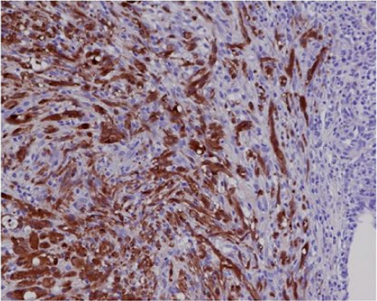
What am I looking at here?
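On one side they are crowded into dense brown clusters of plump, rounded to polygonal cells with abundant brown cytoplasm; toward the other side they become slender brown spindles scattered among many blue nuclei. The spindle cells point in varied directions rather than forming neat parallel rows. Unstained tissue between them is cellular, with numerous small blue nuclei, and a clear space sits at one edge of the field.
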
